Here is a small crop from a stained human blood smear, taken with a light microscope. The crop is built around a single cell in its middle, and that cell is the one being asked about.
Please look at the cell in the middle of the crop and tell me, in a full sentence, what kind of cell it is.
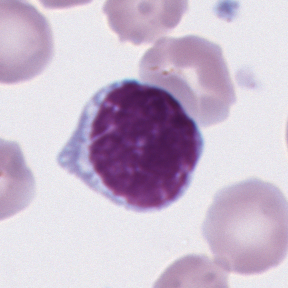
The cell featured at the centre of this crop is a typical lymphocyte.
